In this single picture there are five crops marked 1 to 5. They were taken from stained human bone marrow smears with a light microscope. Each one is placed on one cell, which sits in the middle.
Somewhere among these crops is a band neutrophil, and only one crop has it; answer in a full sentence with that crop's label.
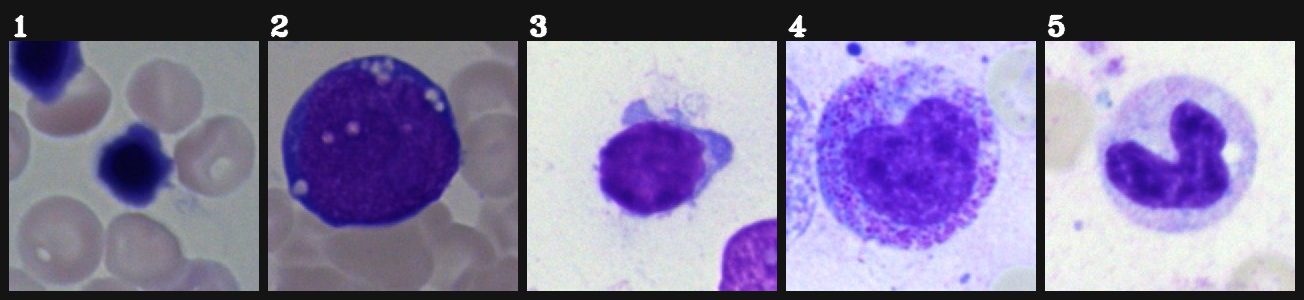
Crop 5 is the crop whose central cell is a band neutrophil.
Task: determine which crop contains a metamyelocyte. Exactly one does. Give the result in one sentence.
Of these crops, it is crop 4 that shows a metamyelocyte.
